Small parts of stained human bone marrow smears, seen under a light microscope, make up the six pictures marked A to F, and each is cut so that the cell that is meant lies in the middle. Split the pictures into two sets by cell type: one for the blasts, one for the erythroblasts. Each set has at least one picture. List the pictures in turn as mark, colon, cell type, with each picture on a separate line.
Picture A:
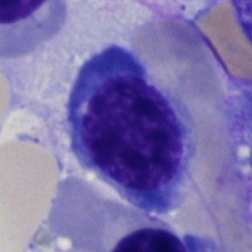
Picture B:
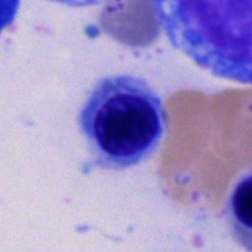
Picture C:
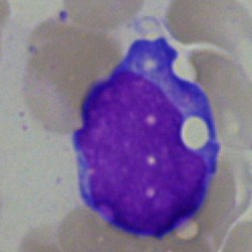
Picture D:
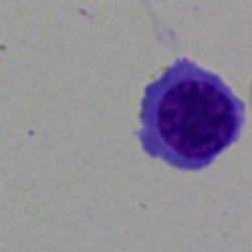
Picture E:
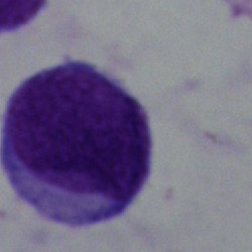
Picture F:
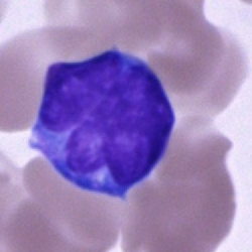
A: erythroblast
B: erythroblast
C: blast
D: erythroblast
E: blast
F: blast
